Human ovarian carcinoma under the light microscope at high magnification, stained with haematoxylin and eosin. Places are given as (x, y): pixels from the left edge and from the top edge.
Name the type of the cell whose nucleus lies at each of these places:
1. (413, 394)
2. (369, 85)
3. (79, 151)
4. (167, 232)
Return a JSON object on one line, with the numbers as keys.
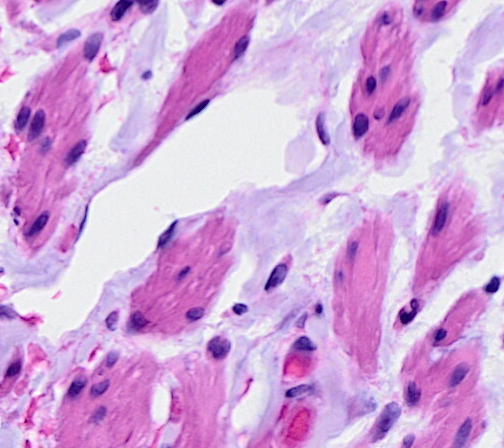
{"1": "smooth muscle cell", "2": "smooth muscle cell", "3": "smooth muscle cell", "4": "endothelial cell"}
